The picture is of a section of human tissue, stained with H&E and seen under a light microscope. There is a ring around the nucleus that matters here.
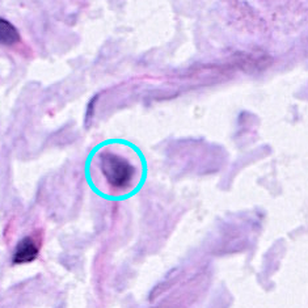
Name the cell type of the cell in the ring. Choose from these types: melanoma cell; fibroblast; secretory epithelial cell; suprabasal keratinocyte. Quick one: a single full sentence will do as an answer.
So far as cell type goes, the cell in the ring is a fibroblast.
